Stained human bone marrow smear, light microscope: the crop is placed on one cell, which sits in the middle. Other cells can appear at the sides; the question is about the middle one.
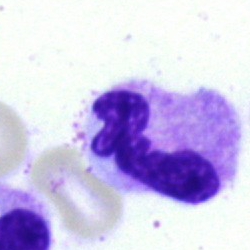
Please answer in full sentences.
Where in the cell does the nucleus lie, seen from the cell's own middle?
It is shifted toward the lower left of the cell.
